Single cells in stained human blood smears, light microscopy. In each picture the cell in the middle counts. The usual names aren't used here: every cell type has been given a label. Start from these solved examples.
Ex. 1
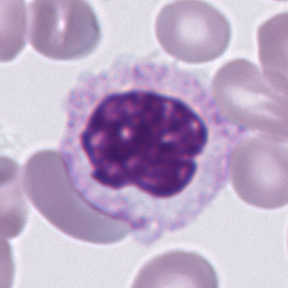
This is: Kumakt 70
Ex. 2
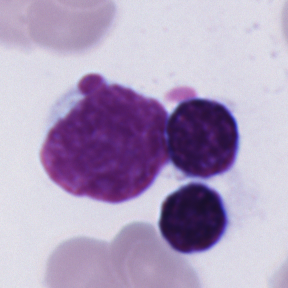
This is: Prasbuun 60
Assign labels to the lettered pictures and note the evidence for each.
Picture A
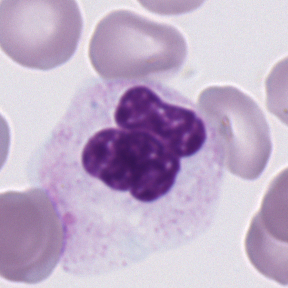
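Label: Kumakt 70. The cytoplasm is abundant and very pale.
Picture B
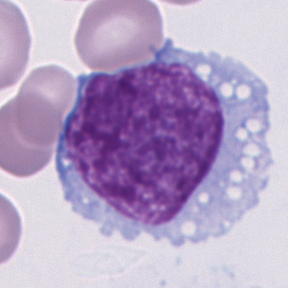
Label: Prasbuun 60. The nucleus is a single unlobed mass.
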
